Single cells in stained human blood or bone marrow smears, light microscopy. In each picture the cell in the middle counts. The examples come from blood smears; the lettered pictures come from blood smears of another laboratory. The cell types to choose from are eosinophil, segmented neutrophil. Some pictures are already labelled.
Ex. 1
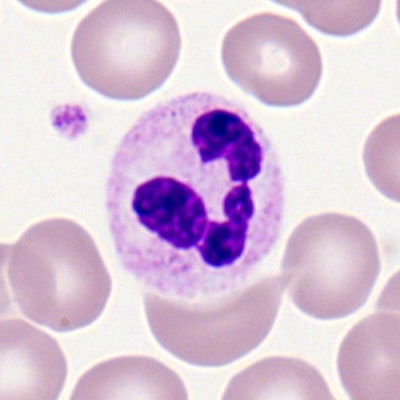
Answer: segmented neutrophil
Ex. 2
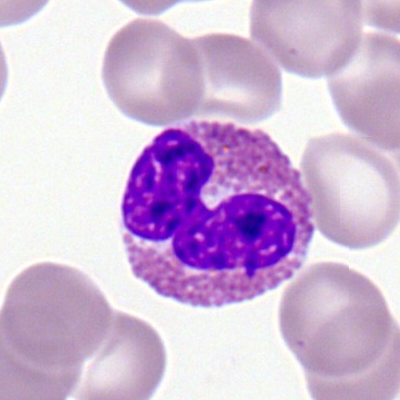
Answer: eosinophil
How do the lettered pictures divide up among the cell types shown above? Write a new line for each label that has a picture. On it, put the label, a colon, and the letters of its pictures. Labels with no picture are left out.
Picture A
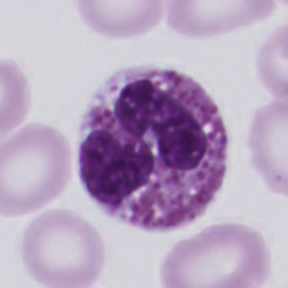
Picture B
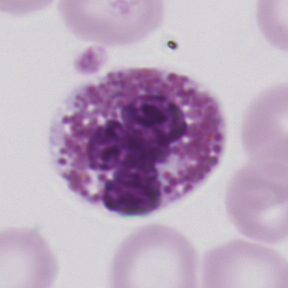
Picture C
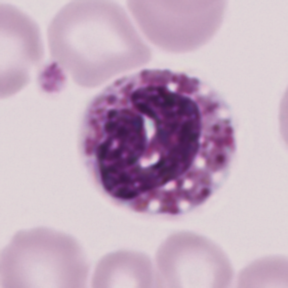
eosinophil: A, B, C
